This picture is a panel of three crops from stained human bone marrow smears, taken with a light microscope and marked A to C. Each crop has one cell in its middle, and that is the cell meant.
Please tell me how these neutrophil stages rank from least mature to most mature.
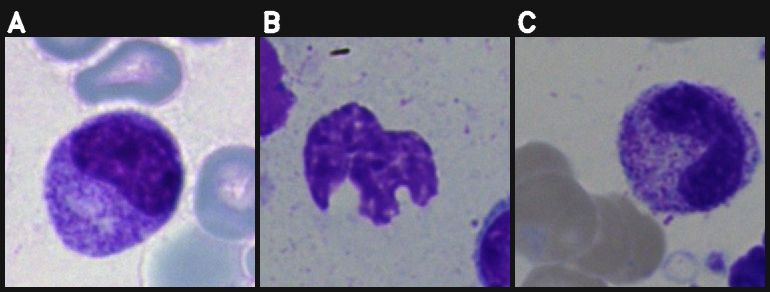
A, C, B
